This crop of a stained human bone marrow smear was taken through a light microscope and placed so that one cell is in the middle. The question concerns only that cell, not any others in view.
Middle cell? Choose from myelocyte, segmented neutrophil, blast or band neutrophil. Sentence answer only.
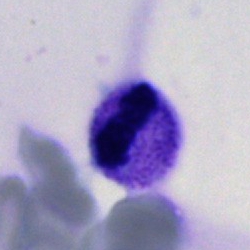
The cell in the middle of this crop is a band neutrophil.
